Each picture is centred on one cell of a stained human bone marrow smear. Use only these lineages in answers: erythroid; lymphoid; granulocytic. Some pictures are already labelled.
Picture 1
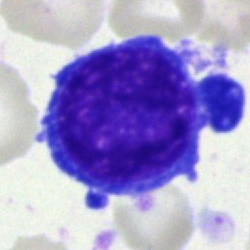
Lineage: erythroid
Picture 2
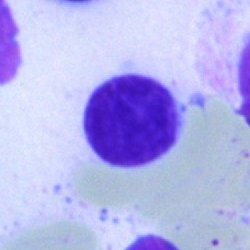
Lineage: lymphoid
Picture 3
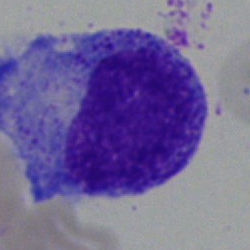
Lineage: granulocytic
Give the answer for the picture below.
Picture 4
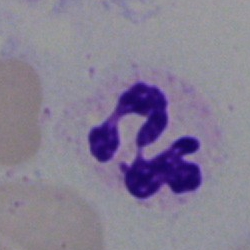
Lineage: granulocytic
